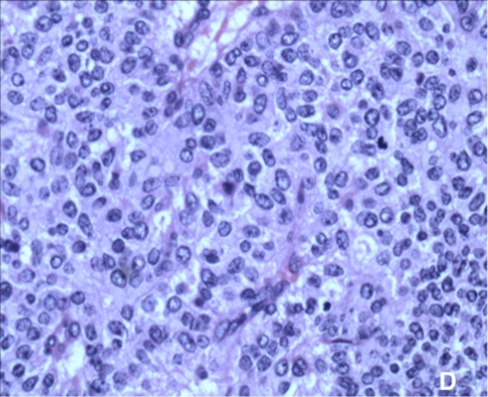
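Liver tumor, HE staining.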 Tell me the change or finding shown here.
nuclear chromatins were distributed in fine granules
